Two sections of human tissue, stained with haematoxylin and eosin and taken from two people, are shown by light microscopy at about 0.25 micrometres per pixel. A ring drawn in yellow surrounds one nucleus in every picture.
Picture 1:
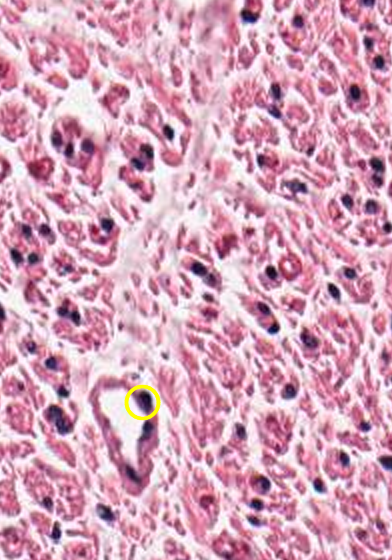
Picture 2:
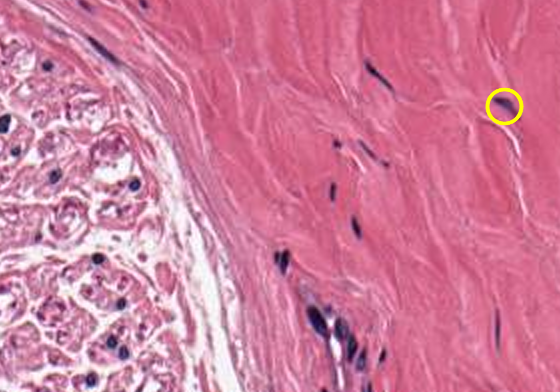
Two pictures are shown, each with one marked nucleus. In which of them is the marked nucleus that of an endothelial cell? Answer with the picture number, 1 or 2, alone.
1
